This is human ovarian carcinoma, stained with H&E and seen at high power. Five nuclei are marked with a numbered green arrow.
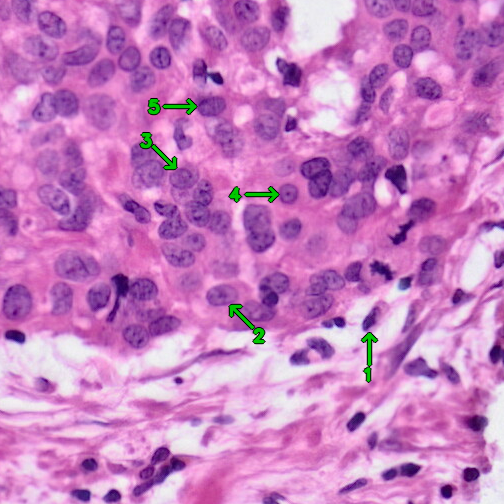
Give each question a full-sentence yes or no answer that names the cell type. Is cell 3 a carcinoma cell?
Yes, a carcinoma cell is what the cell numbered 3 is.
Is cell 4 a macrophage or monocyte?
No, number 4 marks a carcinoma cell rather than a macrophage or monocyte.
